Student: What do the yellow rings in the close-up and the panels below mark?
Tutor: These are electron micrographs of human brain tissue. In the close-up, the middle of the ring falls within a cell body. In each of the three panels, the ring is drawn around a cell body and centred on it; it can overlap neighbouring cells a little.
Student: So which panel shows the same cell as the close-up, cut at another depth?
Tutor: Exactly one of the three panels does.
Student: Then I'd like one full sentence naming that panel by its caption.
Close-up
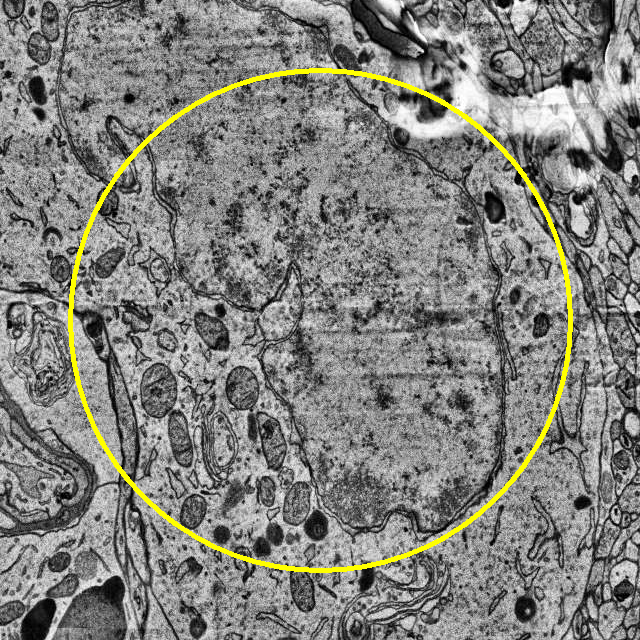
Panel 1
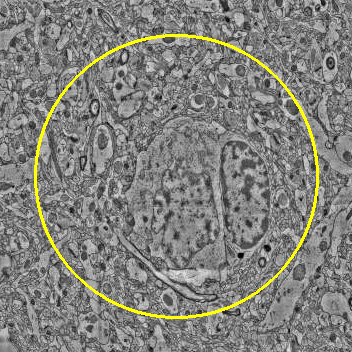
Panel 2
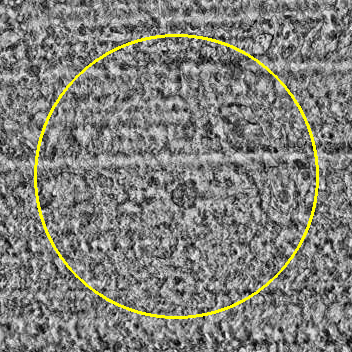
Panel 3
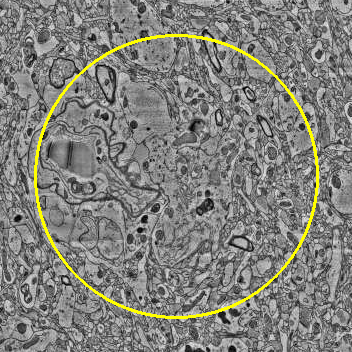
The cell ringed in yellow within Panel 3 is the close-up cell.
